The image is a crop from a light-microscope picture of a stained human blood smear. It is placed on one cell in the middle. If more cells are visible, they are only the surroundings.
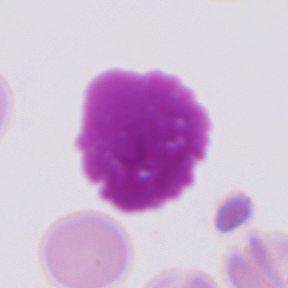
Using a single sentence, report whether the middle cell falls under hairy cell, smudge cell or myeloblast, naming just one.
The cell the crop is centered on is a smudge cell.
